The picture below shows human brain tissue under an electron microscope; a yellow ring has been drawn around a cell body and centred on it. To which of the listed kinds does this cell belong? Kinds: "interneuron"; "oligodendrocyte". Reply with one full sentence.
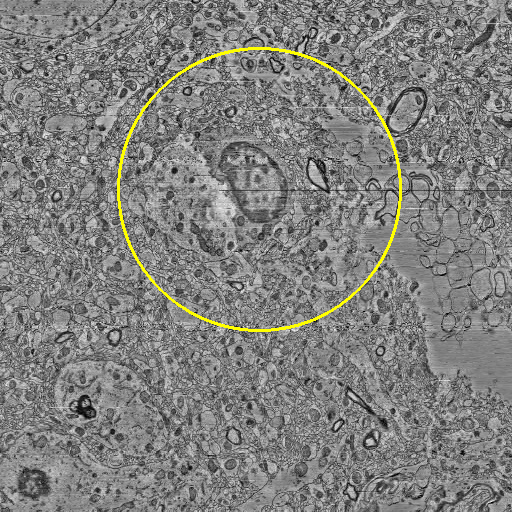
It is an oligodendrocyte that the yellow ring in the picture is centred on.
